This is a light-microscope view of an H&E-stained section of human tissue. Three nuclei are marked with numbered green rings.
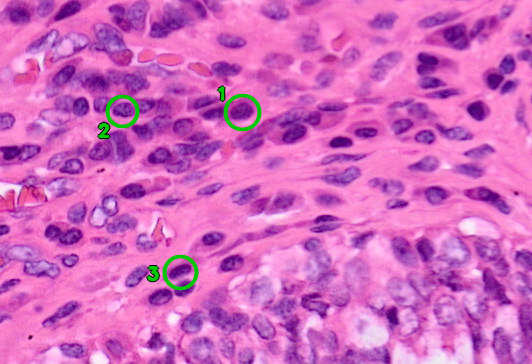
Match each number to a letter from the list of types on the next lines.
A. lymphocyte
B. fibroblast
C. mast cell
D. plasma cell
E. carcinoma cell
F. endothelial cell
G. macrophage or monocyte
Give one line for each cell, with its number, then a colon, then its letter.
1: D
2: A
3: D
